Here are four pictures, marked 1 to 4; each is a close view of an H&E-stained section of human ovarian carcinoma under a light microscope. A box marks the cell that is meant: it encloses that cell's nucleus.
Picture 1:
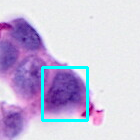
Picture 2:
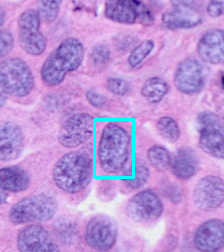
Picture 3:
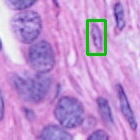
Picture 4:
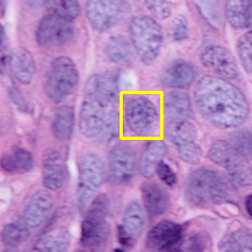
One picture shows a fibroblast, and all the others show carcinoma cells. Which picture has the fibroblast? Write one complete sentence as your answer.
Picture 3 is the one that shows the fibroblast.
